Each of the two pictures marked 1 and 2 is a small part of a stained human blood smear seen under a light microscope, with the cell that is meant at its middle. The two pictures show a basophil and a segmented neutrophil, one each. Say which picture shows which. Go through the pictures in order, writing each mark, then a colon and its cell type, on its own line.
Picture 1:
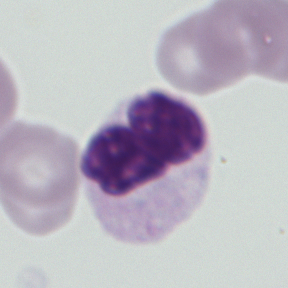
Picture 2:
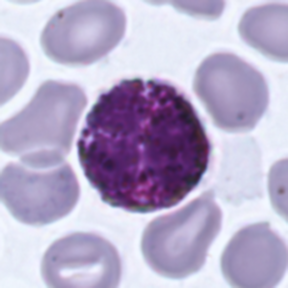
1: segmented neutrophil
2: basophil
